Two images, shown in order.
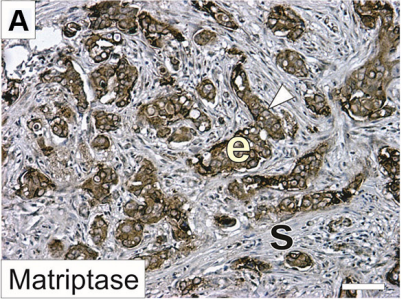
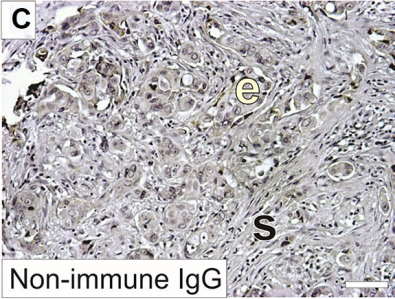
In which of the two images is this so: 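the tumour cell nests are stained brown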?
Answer: the first image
